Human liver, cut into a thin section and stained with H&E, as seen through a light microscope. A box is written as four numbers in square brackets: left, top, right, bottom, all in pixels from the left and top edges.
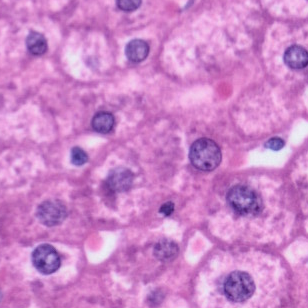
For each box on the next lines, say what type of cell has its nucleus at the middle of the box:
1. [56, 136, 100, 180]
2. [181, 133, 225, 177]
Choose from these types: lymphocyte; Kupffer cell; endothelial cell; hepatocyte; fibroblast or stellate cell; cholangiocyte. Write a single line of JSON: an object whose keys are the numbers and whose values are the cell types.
{"1": "lymphocyte", "2": "hepatocyte"}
